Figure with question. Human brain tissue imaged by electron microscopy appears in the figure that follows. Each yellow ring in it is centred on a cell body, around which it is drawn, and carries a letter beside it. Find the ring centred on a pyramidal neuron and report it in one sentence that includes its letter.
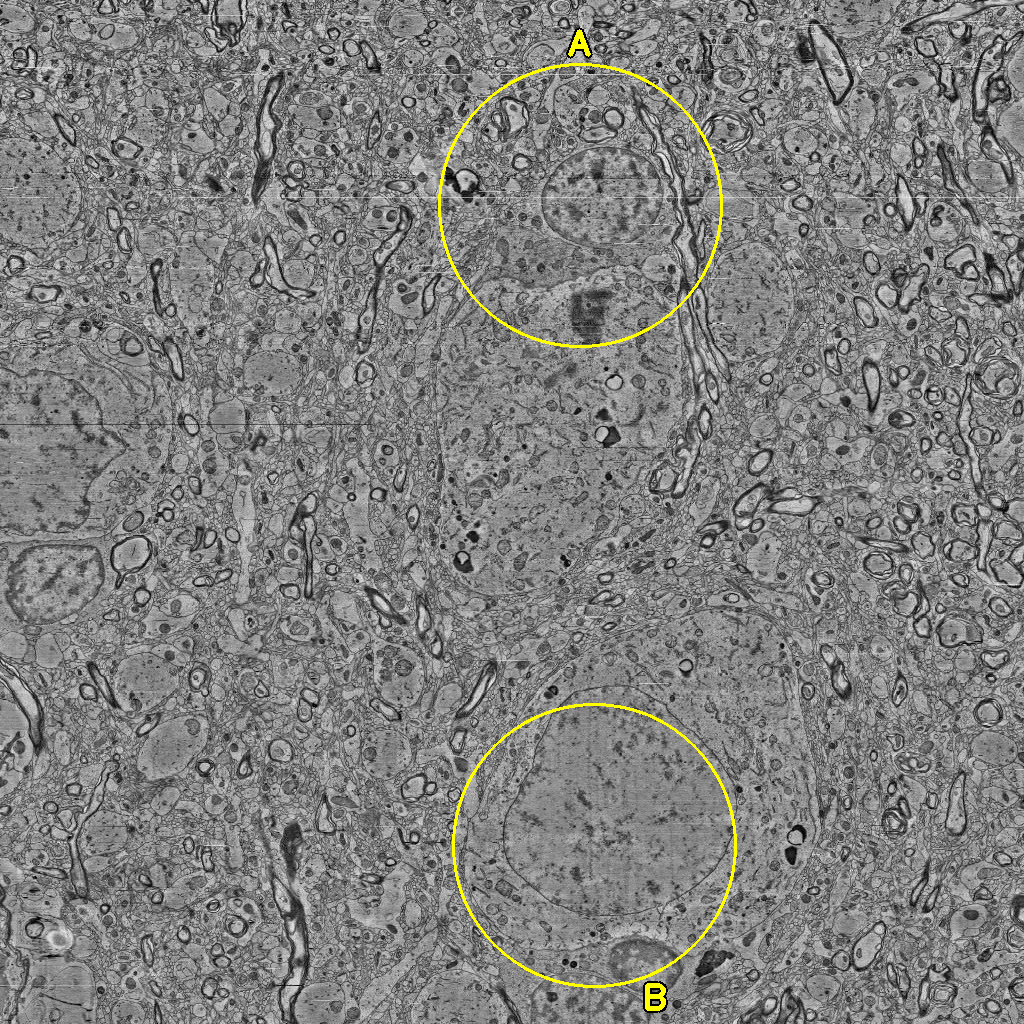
Ring B is the one centred on it.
